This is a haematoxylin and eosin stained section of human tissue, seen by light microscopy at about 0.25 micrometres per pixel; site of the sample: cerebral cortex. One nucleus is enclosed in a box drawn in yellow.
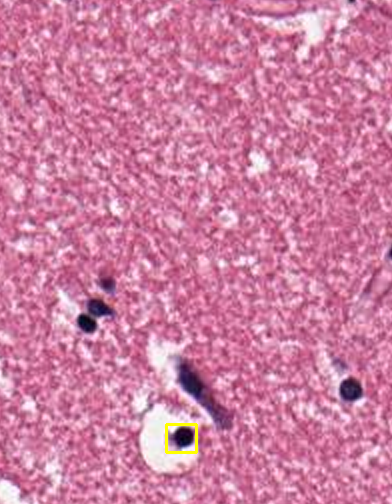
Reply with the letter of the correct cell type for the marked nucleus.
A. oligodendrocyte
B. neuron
A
